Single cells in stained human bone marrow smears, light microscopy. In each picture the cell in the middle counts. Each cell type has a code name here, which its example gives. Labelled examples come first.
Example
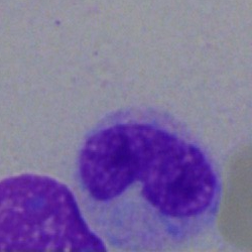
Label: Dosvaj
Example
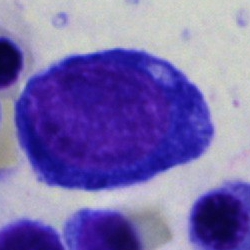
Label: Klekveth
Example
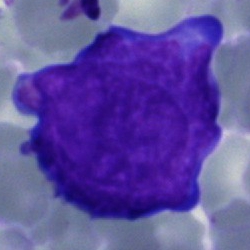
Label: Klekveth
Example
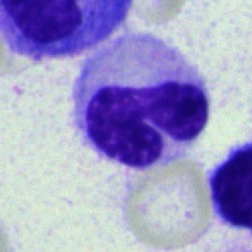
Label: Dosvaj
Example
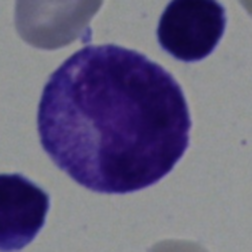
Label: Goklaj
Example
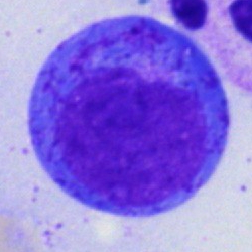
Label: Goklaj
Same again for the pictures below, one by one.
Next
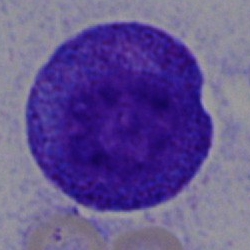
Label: Goklaj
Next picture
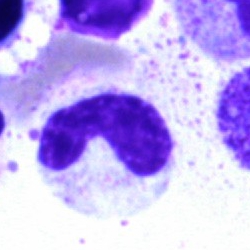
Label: Dosvaj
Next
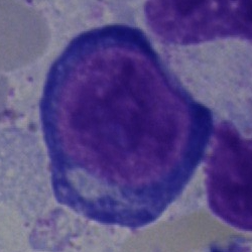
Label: Klekveth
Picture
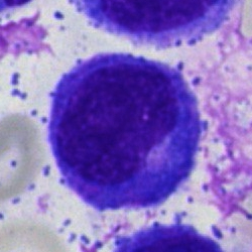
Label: Goklaj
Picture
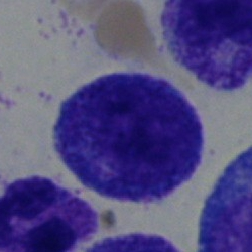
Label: Goklaj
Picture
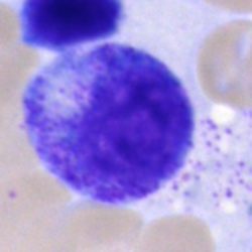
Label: Goklaj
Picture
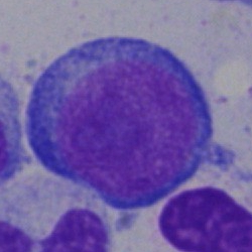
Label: Klekveth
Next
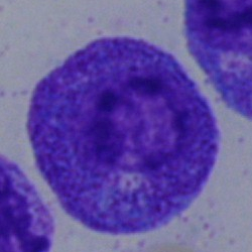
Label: Goklaj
